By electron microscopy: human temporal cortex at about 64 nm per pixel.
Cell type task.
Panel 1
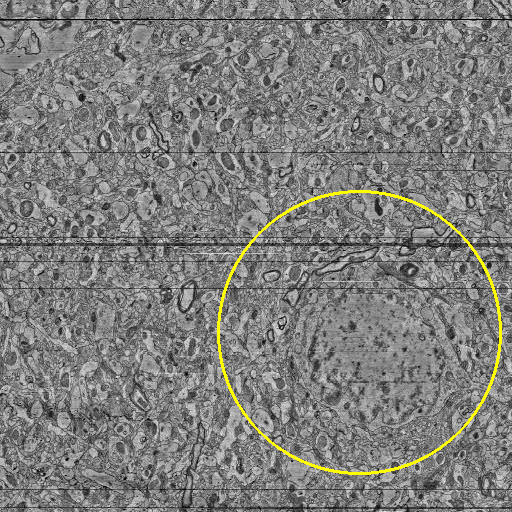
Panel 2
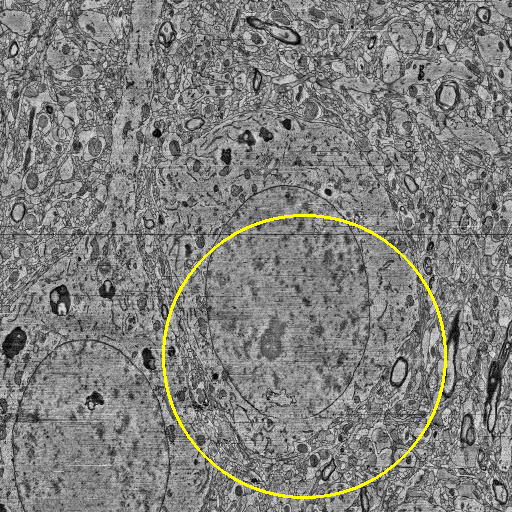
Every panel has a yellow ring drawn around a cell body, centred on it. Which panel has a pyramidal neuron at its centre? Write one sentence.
It sits at the centre of the ring in Panel 2.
